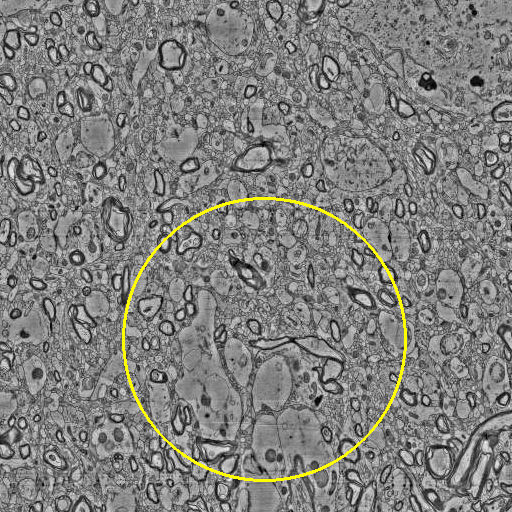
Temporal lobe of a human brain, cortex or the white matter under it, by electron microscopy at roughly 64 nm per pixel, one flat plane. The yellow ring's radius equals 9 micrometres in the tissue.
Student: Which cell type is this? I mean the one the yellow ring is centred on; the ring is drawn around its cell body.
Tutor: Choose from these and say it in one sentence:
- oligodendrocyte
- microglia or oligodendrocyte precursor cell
The cell the ring is centred on is a microglial cell or oligodendrocyte precursor cell.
